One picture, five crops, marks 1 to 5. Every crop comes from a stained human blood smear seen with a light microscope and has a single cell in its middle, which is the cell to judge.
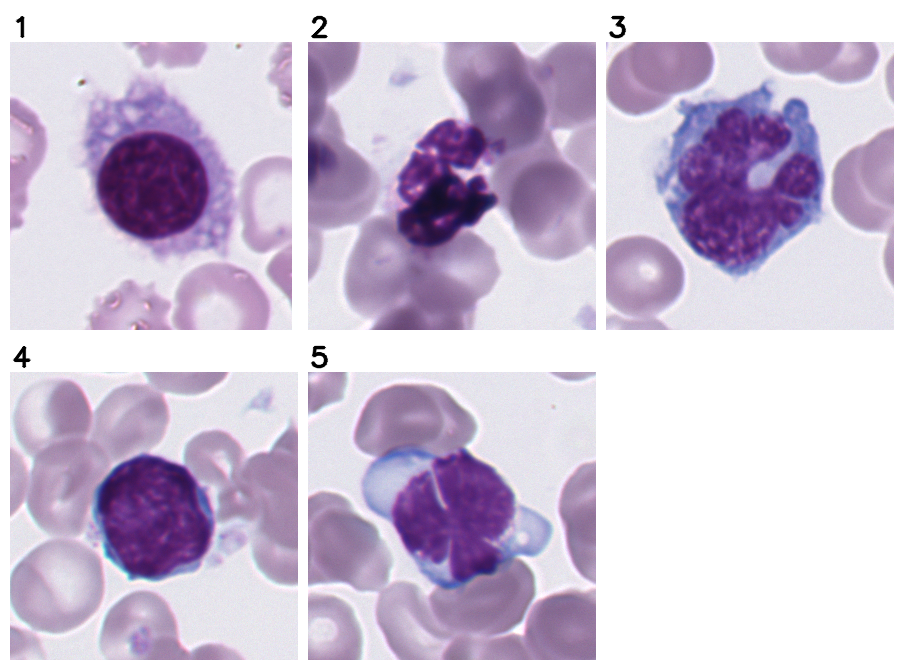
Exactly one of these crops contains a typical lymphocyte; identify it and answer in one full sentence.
The crop marked 4 is the one in which a typical lymphocyte is shown.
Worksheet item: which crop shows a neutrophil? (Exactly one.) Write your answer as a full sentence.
Crop 2 is identified as the crop showing a neutrophil.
